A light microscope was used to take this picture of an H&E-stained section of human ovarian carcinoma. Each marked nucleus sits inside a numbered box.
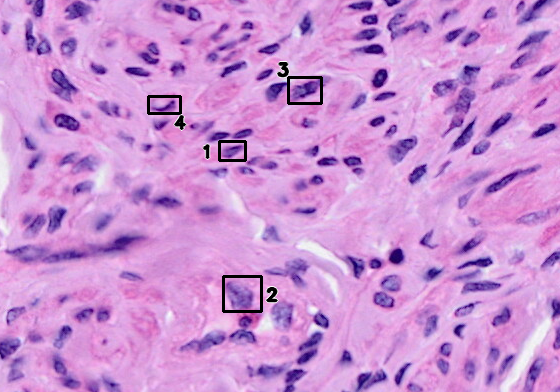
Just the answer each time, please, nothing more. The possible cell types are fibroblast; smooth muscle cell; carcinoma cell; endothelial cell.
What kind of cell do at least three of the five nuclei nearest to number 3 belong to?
smooth muscle cell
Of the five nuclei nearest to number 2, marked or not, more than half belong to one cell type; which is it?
endothelial cell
